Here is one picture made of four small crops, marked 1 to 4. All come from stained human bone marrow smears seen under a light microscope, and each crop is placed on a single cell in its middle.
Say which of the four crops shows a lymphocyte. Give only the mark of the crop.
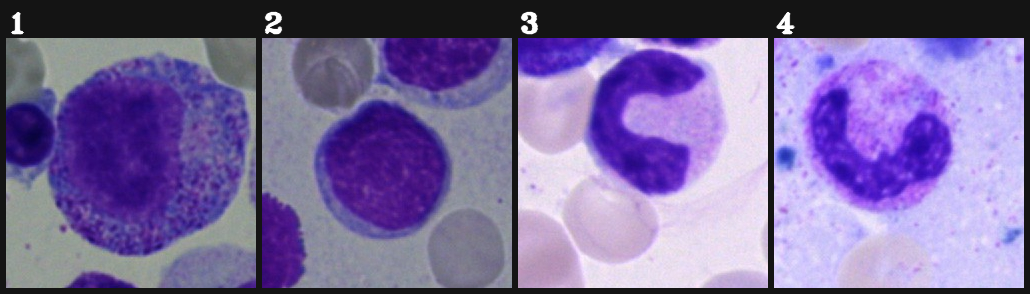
2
